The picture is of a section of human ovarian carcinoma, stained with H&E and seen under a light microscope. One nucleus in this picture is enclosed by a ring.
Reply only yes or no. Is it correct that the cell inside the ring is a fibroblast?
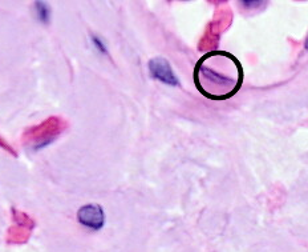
no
